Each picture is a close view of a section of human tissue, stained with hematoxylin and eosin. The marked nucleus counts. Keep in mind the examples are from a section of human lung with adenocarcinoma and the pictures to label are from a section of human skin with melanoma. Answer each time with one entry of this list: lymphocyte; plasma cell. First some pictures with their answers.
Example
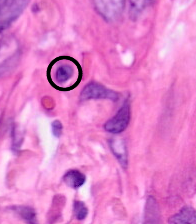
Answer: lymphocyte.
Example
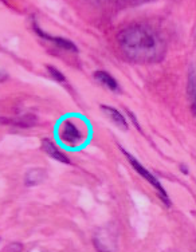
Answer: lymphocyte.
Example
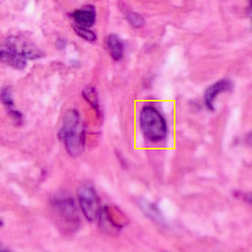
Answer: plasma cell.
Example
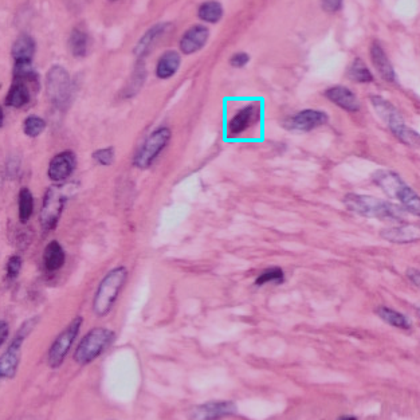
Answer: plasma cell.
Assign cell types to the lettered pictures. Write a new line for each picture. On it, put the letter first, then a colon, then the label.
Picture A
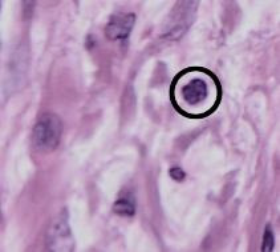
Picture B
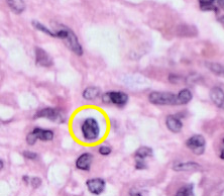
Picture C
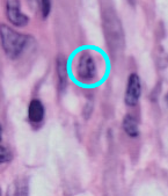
A: lymphocyte.
B: lymphocyte.
C: plasma cell.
